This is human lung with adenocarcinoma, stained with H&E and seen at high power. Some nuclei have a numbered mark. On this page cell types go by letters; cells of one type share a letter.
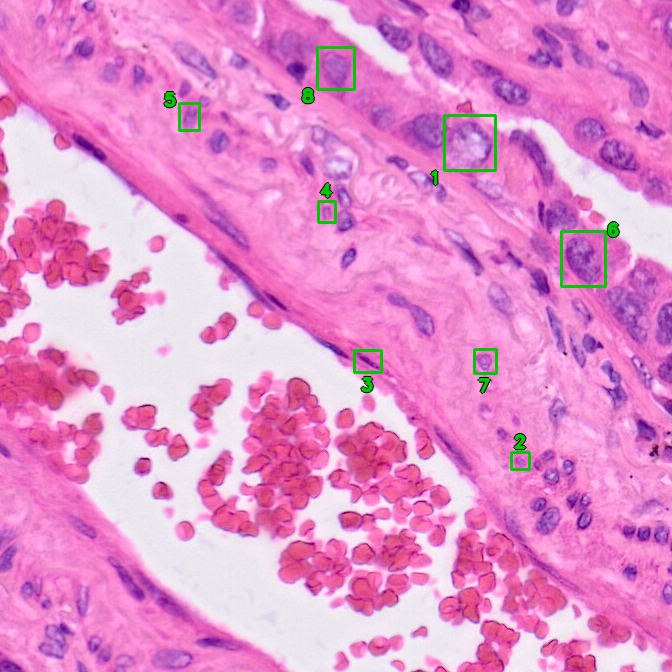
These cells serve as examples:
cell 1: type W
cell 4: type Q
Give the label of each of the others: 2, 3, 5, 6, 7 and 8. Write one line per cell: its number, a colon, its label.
2: type Q
3: type Q
5: type Q
6: type W
7: type Q
8: type W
